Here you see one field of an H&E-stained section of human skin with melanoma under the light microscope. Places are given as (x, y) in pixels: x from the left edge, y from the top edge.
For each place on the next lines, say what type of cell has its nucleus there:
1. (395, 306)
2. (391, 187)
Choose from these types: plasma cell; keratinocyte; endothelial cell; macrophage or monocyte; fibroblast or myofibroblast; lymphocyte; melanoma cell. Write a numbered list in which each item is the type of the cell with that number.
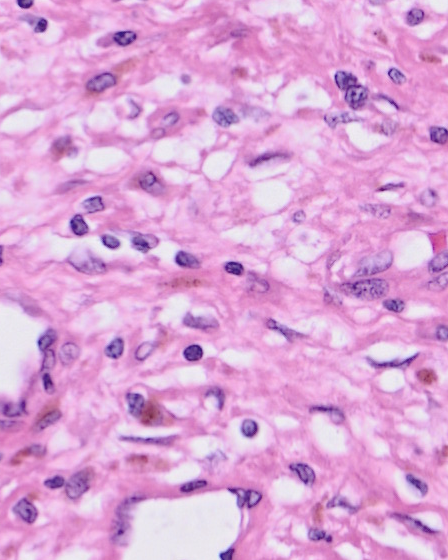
1. lymphocyte
2. fibroblast or myofibroblast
